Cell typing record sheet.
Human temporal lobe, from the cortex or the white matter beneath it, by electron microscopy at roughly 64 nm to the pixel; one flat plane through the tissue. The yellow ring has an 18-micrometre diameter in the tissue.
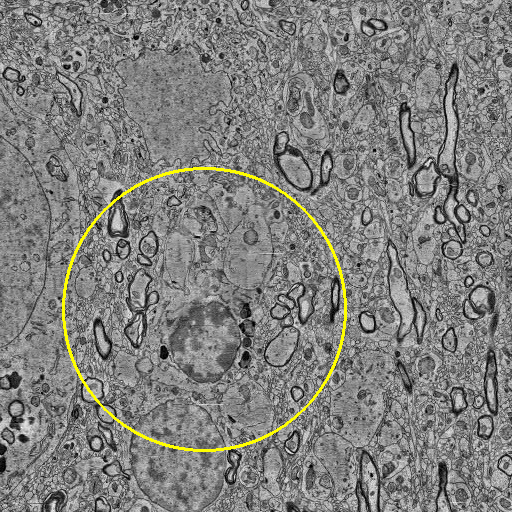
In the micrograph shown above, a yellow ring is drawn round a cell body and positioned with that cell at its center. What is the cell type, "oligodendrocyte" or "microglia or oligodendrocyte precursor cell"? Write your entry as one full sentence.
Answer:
The cell body at the center of the ring belongs to a microglial cell or oligodendrocyte precursor cell.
